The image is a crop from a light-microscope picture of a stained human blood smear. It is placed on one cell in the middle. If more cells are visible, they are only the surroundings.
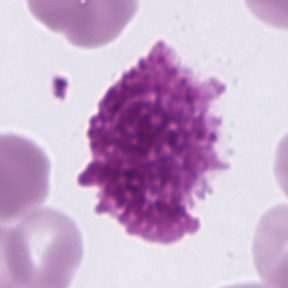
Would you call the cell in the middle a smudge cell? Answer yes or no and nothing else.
yes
